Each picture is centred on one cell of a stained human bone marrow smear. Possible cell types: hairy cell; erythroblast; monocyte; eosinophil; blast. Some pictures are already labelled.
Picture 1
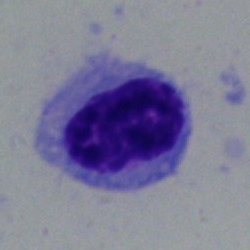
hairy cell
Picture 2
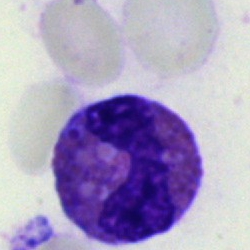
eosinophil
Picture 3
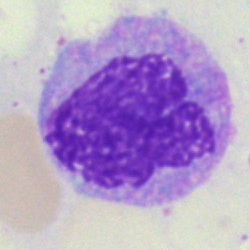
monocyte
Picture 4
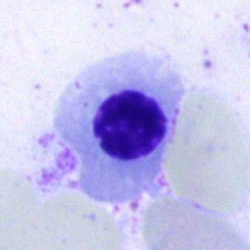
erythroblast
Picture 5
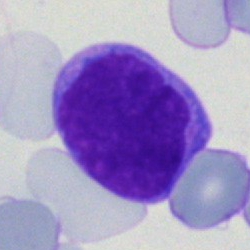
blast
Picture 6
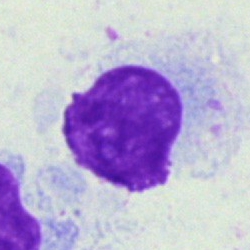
hairy cell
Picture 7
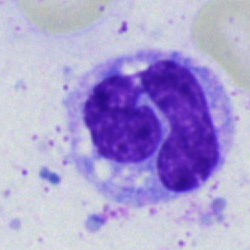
monocyte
